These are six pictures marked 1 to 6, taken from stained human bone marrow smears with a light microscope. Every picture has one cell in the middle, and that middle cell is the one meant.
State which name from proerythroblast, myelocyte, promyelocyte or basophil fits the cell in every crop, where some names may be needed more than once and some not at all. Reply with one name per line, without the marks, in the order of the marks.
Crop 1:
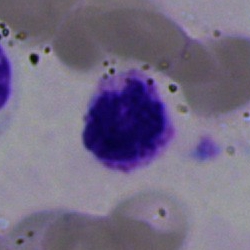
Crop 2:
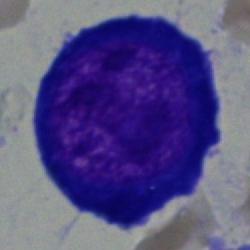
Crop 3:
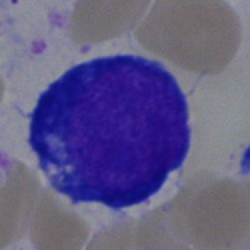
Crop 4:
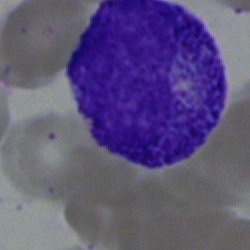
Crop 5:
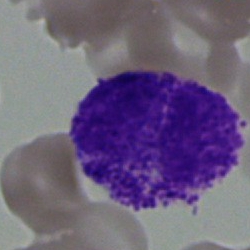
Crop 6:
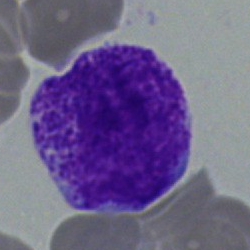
basophil
proerythroblast
proerythroblast
myelocyte
basophil
myelocyte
